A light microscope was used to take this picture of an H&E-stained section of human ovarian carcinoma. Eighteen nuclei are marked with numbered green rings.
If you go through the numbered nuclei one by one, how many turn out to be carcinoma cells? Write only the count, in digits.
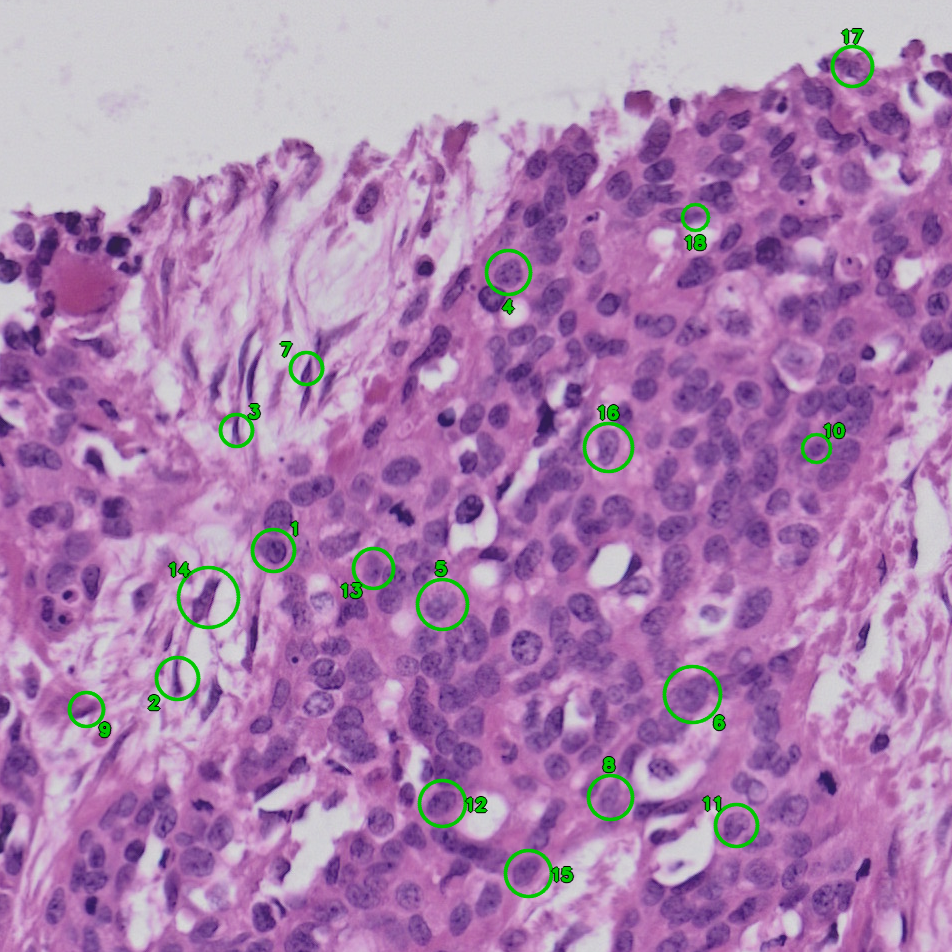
10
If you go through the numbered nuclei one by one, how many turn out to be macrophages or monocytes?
3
